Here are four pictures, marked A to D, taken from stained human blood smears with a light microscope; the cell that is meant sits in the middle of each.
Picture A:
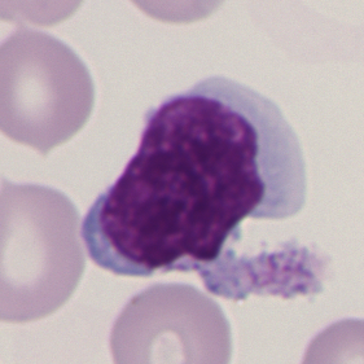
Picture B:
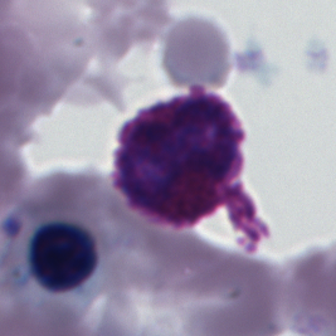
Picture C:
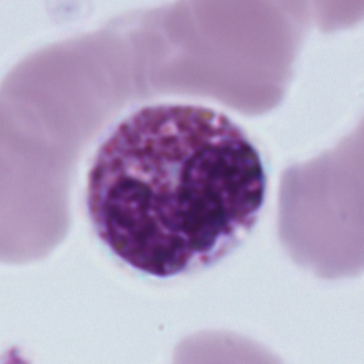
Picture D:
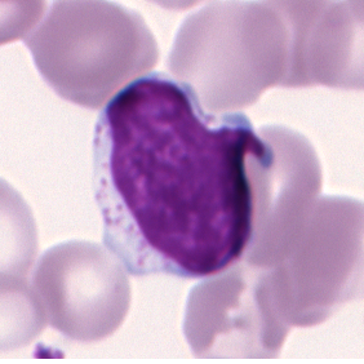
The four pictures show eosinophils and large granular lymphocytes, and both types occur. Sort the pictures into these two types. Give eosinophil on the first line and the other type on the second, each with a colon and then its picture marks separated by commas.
eosinophil: B, C
large granular lymphocyte: A, D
